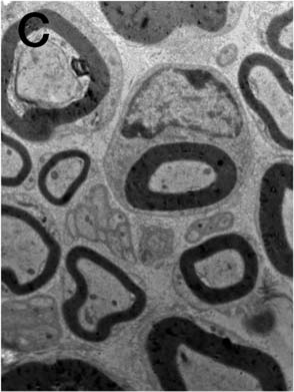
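A cross-sectioned peripheral nerve packed with myelinated fibres and bundles of unmyelinated axons. Myelinated axons of different calibre appear as pale cores ringed by thick, dense black myelin, some round, others oval or kidney-shaped. In the upper centre a large pale profile holds a granular, nucleus-like body beside a myelinated fibre, consistent with a Schwann cell. Small groups of thin unmyelinated axons lie nested within pale cytoplasm between the larger fibres. One fibre at upper left shows a loosened inner myelin layer. The fibres are separated by pale endoneurial matrix, and the arrangement appears orderly without obvious breakdown.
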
